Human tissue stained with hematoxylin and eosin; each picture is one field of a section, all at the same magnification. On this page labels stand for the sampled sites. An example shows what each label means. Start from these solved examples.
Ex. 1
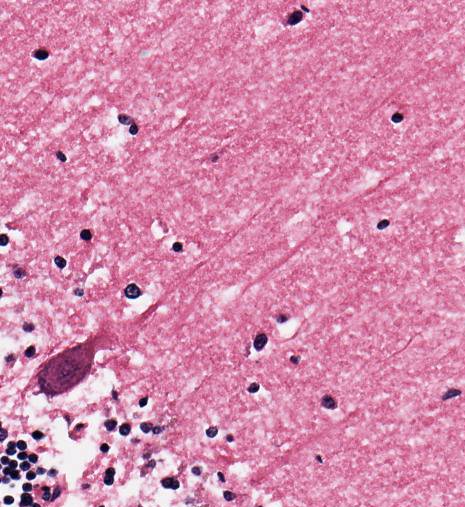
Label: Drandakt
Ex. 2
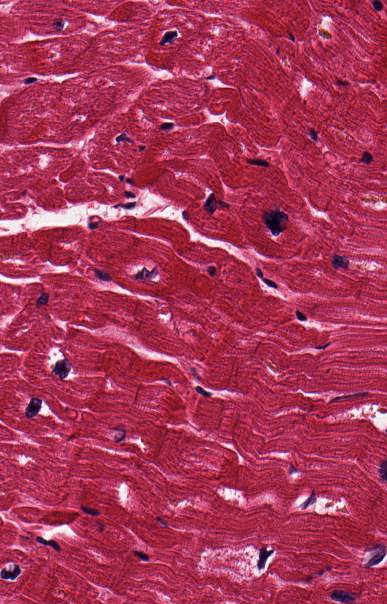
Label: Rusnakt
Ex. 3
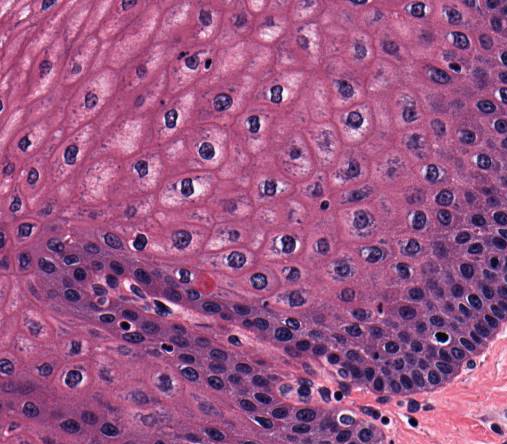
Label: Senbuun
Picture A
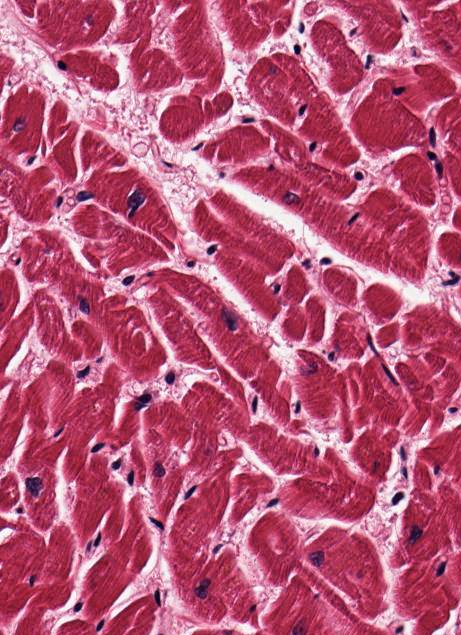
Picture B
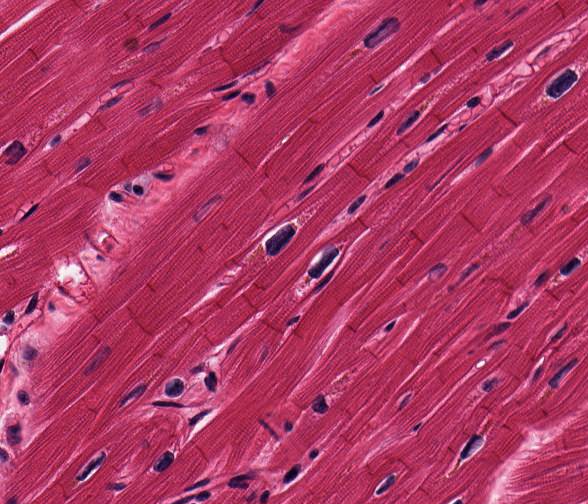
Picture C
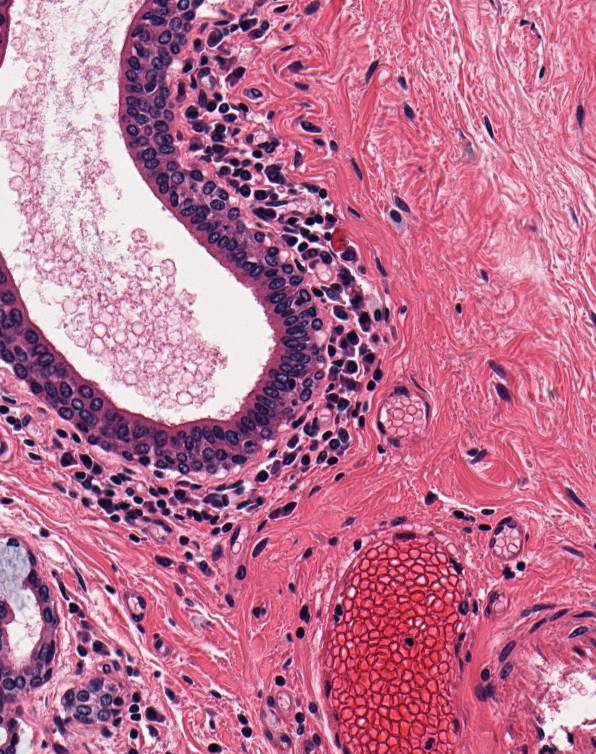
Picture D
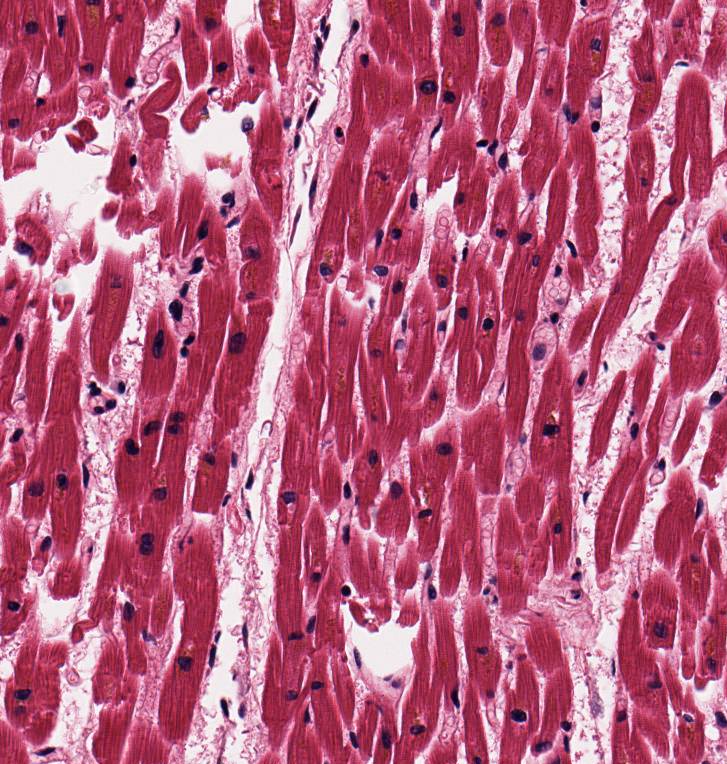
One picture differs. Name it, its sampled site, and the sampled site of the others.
C (Senbuun) is the exception; every other picture is Rusnakt.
